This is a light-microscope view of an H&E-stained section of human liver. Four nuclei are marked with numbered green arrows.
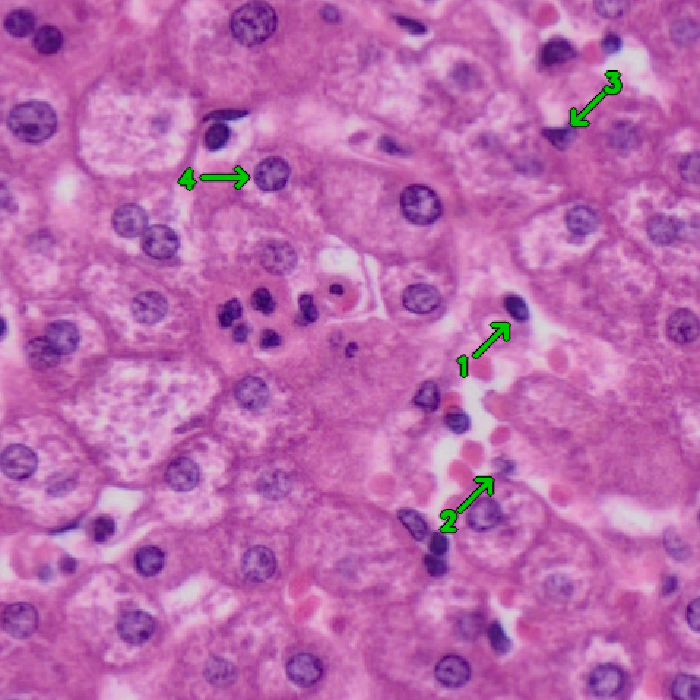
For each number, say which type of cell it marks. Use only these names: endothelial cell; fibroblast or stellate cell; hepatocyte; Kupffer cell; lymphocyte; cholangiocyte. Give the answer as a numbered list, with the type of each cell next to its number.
1. lymphocyte
2. endothelial cell
3. endothelial cell
4. hepatocyte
